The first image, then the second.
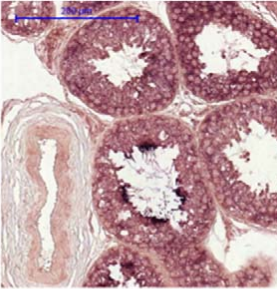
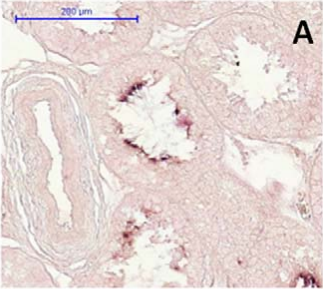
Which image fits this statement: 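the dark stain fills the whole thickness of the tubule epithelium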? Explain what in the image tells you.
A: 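First image: the tubules are brownish-purple throughout their epithelium, darkest at the lumen. Second image: the stain is confined to a rim at the lumen and the rest of the epithelium is pale. So: the first image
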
